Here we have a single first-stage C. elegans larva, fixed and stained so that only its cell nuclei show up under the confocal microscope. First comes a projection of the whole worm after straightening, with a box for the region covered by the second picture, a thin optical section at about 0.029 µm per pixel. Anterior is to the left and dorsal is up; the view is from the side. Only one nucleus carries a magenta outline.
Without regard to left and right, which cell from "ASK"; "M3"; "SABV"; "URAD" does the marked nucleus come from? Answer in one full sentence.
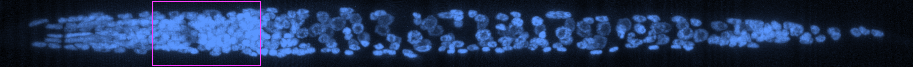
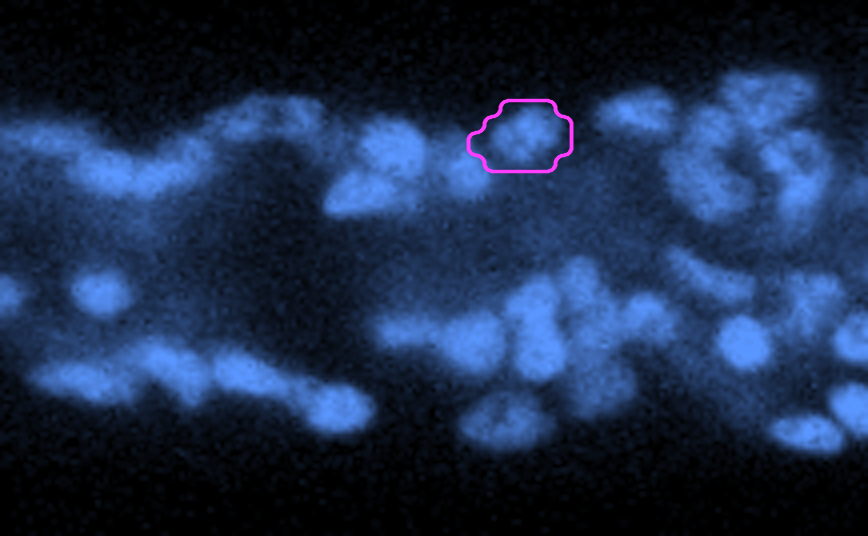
The cell whose nucleus is marked is ASK, a neuron.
